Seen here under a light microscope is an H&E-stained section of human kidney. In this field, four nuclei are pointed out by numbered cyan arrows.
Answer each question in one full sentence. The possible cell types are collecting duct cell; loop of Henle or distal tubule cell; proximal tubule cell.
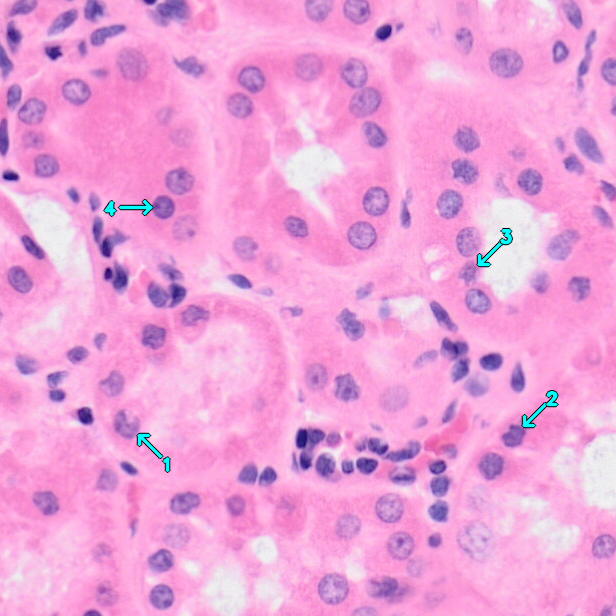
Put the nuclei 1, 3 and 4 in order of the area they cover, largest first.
From largest to smallest, the order is 1, 4, 3.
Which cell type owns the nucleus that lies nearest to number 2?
The nucleus nearest to number 2 is that of a proximal tubule cell.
